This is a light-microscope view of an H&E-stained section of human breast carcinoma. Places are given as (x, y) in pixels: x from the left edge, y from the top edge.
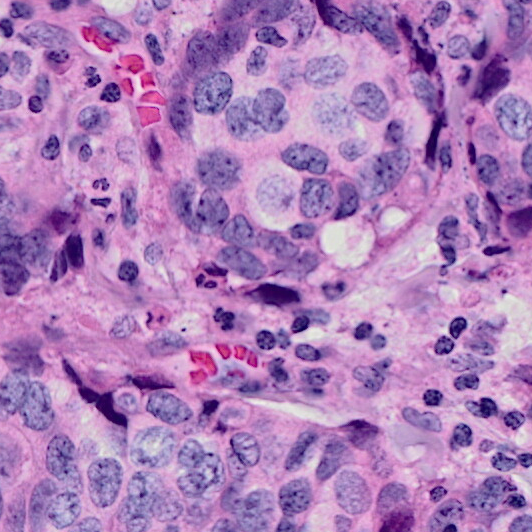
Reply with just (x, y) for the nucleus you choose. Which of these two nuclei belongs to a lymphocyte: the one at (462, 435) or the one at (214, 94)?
(462, 435)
